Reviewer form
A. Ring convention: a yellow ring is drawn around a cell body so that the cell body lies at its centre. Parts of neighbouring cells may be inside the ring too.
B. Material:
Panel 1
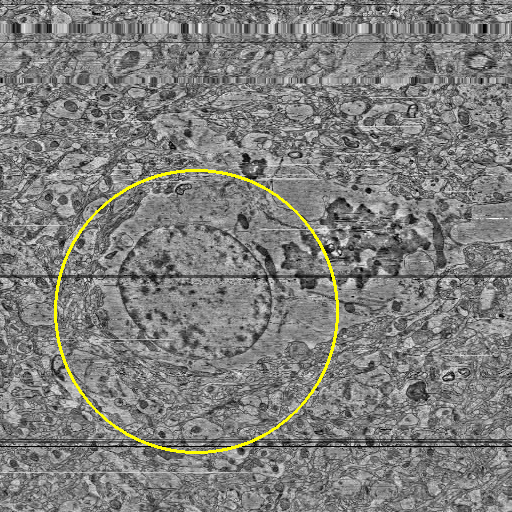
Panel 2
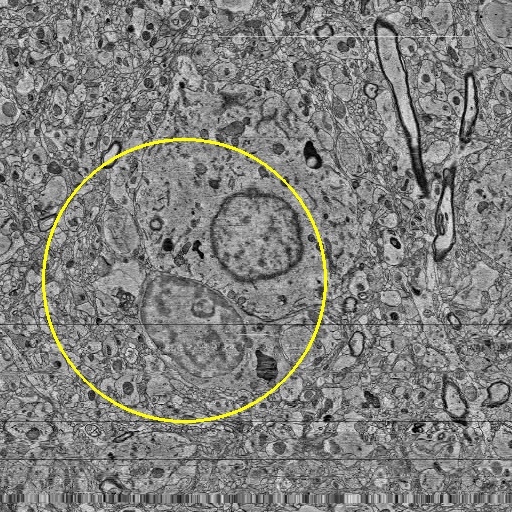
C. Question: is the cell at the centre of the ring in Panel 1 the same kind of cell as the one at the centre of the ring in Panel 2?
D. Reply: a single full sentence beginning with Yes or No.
No, the cells in Panel 1 and Panel 2 are two kinds of cell.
